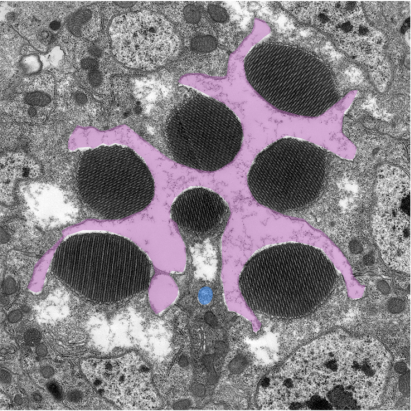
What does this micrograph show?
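This is a cross-section through a single ommatidium of the fly compound eye. Seven photoreceptor rhabdomeres appear as dark, finely striated round profiles made of packed microvilli, arranged in a ring with a smaller one near the centre. The purple-tinted inter-rhabdomeric space fills the gaps between them and extends outward in branching arms between the photoreceptor cells. The surrounding cytoplasm holds mitochondria and other organelles, and only one small blue-tinted body is present.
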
